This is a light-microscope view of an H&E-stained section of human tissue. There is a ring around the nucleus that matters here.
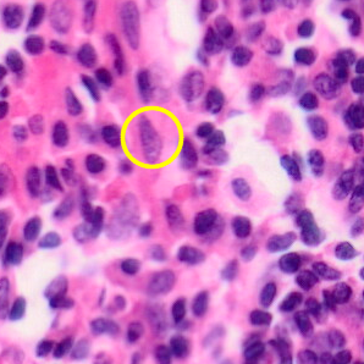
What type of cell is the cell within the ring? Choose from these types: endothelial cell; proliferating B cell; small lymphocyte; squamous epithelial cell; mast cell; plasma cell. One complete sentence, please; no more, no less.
Microscopically, the cell within the ring is categorized as an endothelial cell.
